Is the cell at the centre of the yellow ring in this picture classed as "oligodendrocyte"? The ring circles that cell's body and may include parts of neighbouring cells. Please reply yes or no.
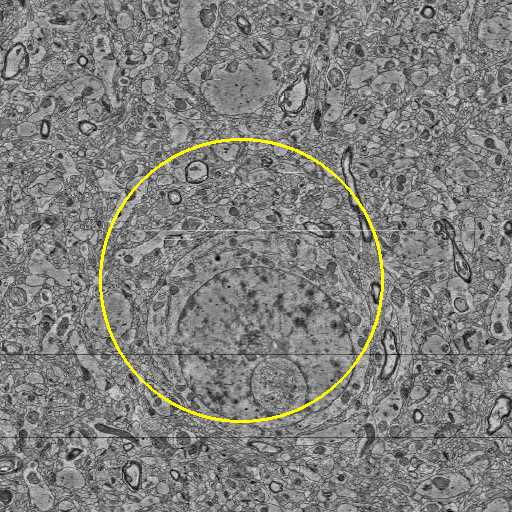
No, it is of another kind.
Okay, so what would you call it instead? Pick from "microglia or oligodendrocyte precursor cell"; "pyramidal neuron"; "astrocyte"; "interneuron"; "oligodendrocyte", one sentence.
It is an interneuron at the centre of the ring.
